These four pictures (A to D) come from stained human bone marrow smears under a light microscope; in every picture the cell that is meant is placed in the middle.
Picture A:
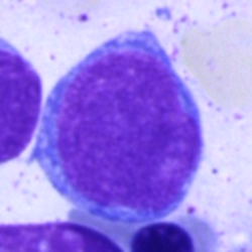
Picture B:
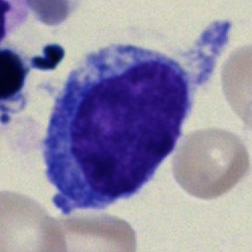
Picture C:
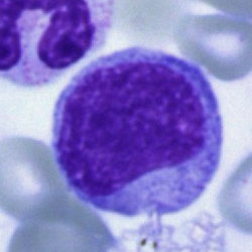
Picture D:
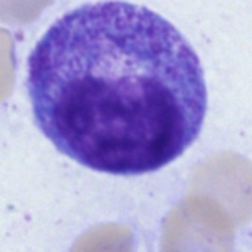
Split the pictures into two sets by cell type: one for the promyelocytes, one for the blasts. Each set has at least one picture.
A: blast
B: blast
C: blast
D: promyelocyte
